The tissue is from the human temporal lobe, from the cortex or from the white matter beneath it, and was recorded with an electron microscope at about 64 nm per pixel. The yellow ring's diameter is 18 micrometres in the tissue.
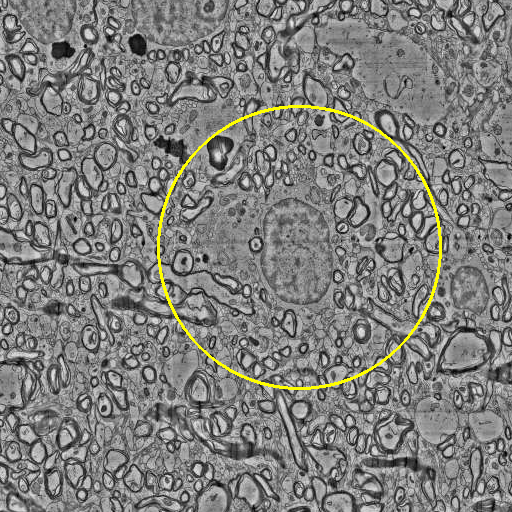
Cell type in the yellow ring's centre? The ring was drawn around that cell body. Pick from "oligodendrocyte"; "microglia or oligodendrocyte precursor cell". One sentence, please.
The ringed cell body is that of an oligodendrocyte.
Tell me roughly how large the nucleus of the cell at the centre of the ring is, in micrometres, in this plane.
Roughly 7 micrometres by 5 micrometres, in this plane.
